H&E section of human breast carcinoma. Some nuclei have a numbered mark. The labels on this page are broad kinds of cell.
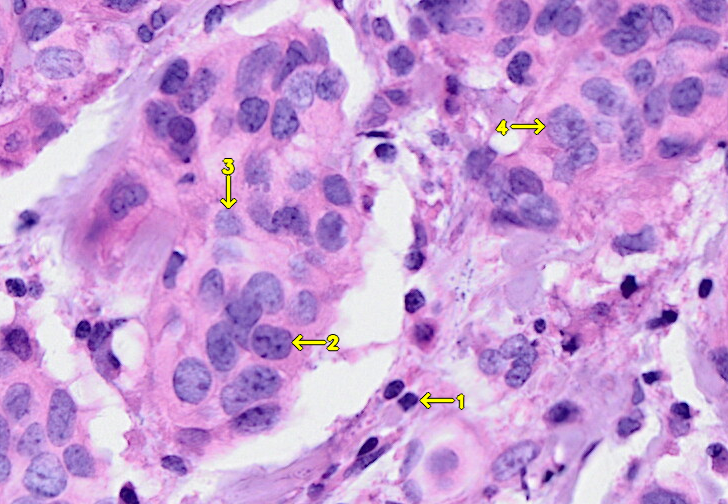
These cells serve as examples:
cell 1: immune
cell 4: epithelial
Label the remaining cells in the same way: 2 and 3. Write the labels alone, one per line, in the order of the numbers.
epithelial
epithelial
